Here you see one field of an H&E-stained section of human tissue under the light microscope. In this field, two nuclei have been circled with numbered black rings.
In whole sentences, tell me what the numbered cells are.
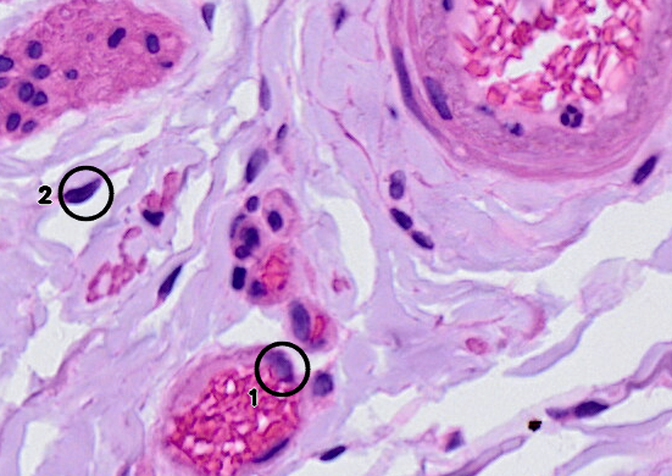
Cell 1 is an endothelial cell and cell 2 is a fibroblast.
